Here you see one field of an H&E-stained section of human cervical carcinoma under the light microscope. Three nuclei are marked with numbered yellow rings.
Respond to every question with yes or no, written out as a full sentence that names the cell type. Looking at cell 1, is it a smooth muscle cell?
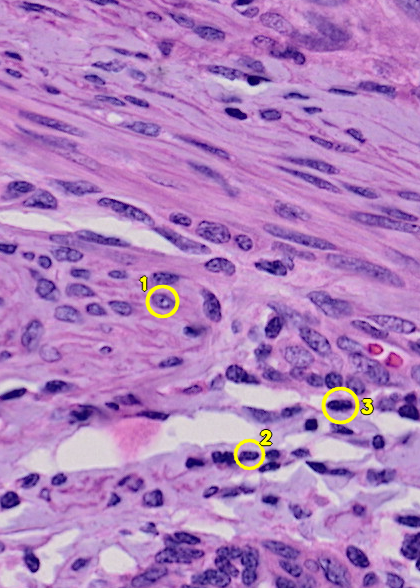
Yes, the cell to which number 1 refers is a smooth muscle cell.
